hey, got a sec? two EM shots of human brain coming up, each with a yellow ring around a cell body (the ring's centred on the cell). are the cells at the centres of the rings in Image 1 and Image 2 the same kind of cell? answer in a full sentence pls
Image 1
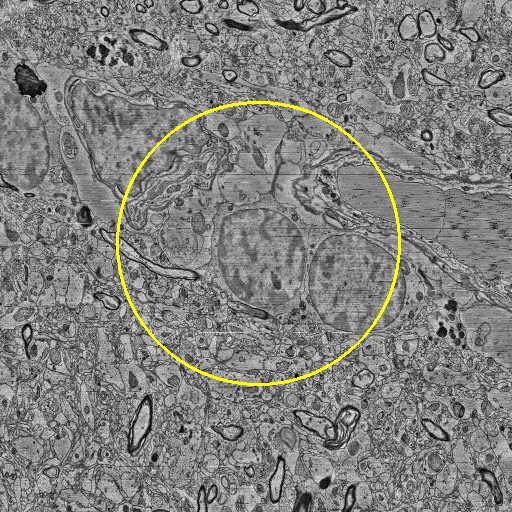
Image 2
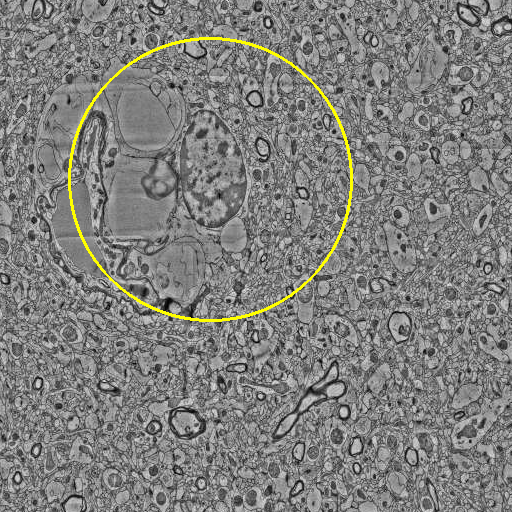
No, they are two kinds of cell.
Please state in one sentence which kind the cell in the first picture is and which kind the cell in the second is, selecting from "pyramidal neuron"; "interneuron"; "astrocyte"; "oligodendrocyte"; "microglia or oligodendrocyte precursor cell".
The first ringed cell is an oligodendrocyte, the second ringed cell a microglial cell or oligodendrocyte precursor cell.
